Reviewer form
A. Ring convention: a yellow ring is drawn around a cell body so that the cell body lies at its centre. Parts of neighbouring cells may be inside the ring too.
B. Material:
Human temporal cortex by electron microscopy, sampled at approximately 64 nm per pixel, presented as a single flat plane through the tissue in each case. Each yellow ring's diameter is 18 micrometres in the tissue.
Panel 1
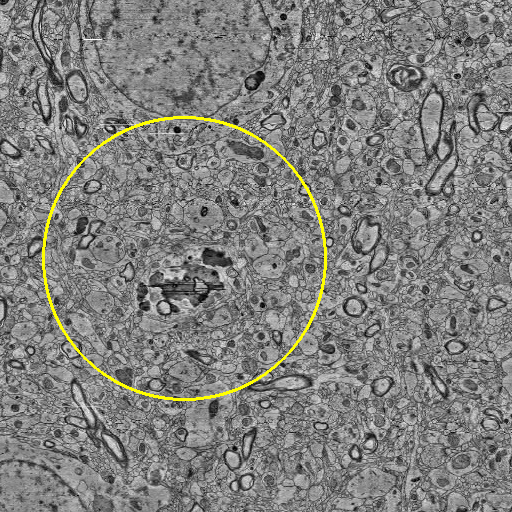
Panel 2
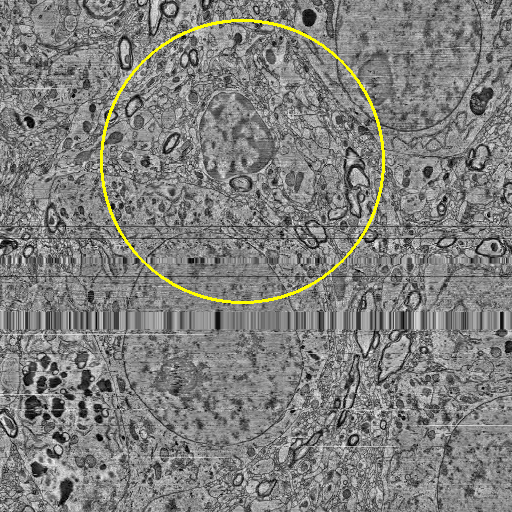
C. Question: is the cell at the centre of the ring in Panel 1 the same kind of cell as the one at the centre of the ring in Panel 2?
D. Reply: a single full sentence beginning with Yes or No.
Yes, the cells in Panel 1 and Panel 2 are the same kind of cell.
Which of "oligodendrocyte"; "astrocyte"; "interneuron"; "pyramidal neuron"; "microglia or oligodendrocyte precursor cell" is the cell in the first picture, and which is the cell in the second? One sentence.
Each of the two rings is centred on a microglial cell or oligodendrocyte precursor cell.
